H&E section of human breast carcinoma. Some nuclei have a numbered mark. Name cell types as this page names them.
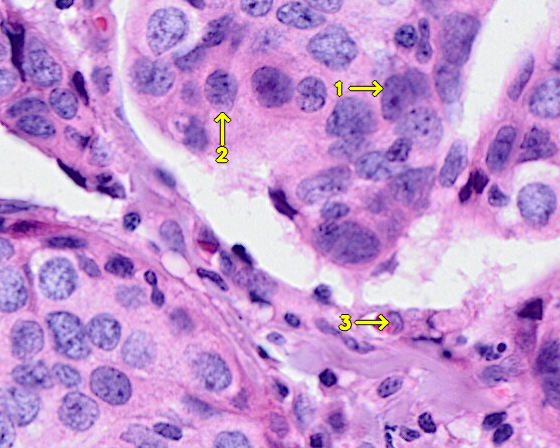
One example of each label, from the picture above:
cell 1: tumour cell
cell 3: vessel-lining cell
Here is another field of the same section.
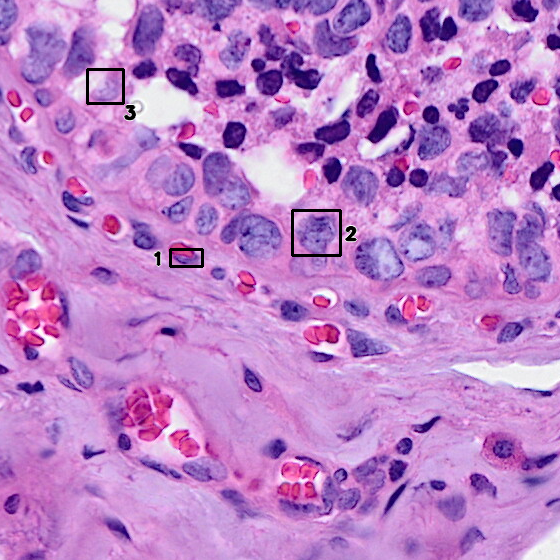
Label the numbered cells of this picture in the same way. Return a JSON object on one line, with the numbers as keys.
{"1": "vessel-lining cell", "2": "tumour cell", "3": "tumour cell"}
